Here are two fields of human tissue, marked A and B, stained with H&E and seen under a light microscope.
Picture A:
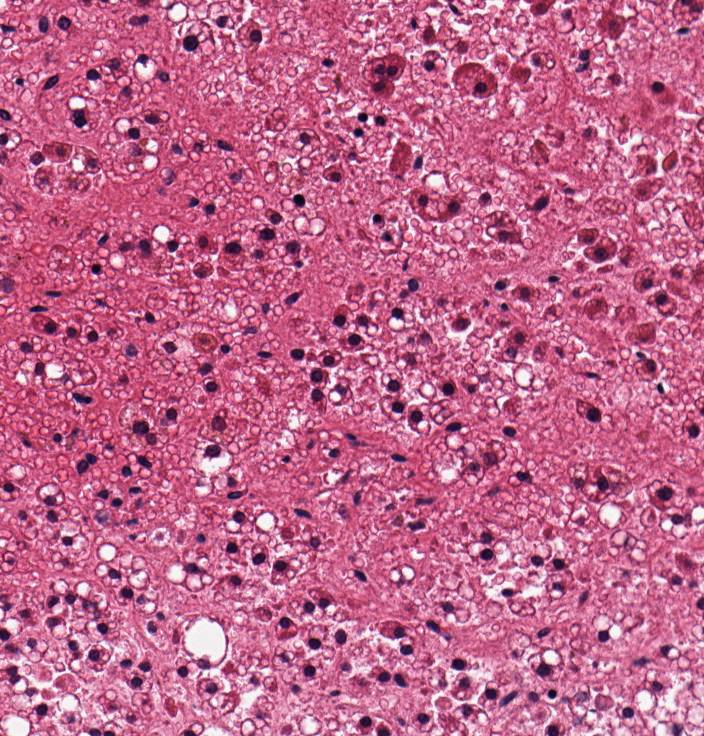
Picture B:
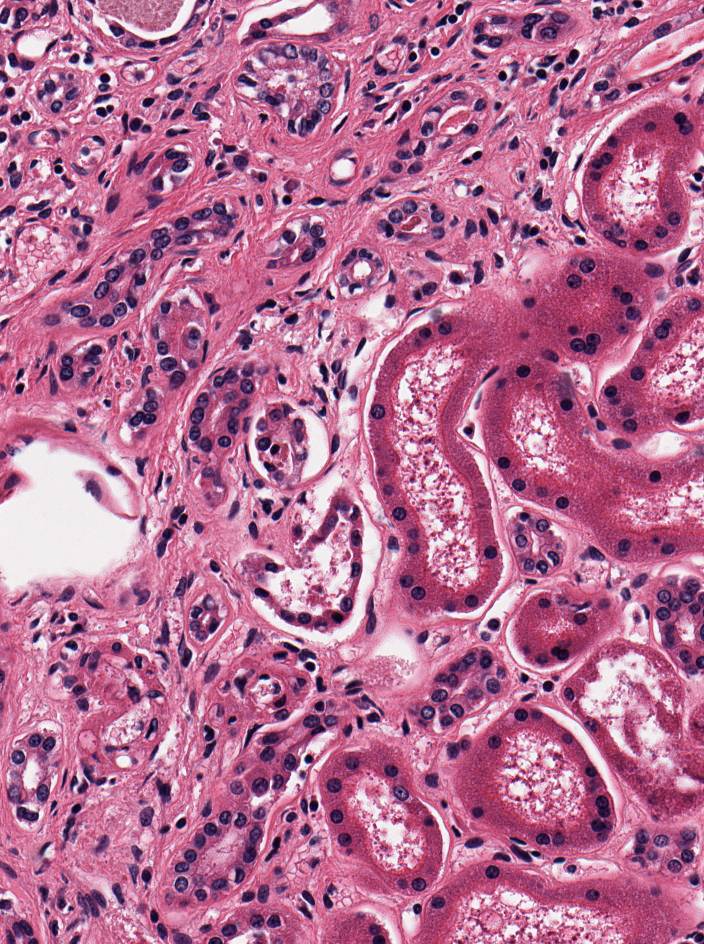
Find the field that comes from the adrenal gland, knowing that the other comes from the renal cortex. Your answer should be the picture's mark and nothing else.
A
